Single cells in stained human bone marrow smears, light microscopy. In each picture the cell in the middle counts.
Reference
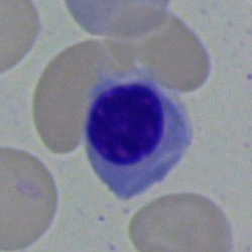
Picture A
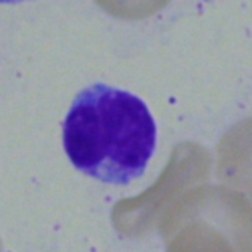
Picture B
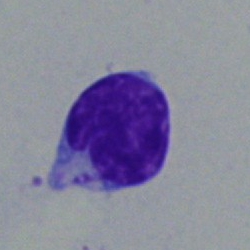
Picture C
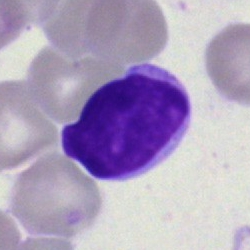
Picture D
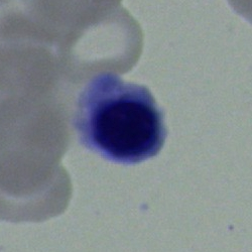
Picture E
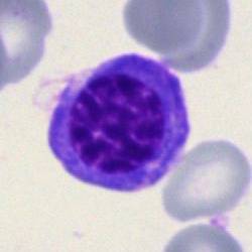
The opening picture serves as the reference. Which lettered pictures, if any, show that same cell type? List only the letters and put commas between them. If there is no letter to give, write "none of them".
D, E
